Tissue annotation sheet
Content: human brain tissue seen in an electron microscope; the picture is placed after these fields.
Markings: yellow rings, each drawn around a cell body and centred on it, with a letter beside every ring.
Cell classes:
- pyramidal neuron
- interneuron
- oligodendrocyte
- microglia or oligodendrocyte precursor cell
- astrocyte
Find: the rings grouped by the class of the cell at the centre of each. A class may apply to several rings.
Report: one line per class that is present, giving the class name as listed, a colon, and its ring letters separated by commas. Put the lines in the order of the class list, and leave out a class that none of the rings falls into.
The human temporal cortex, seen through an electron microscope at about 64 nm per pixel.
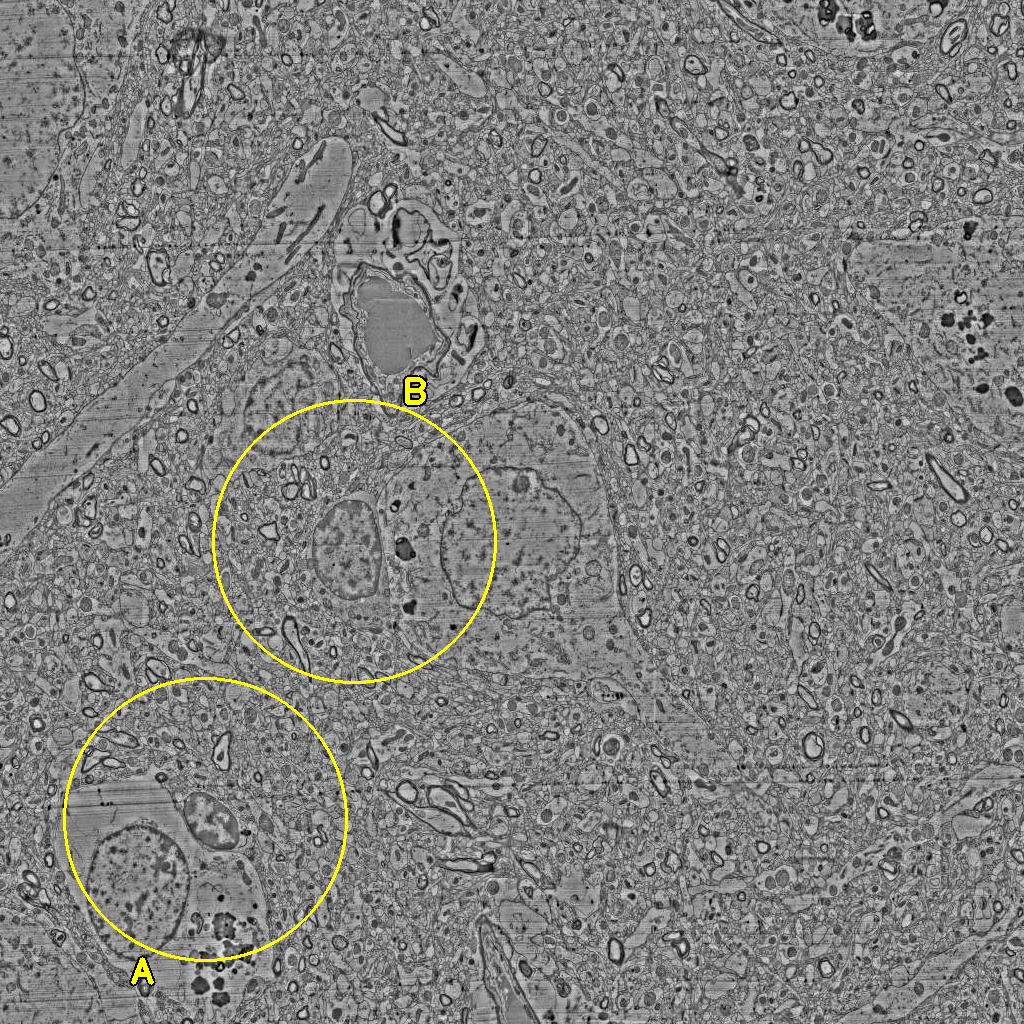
oligodendrocyte: B
microglia or oligodendrocyte precursor cell: A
